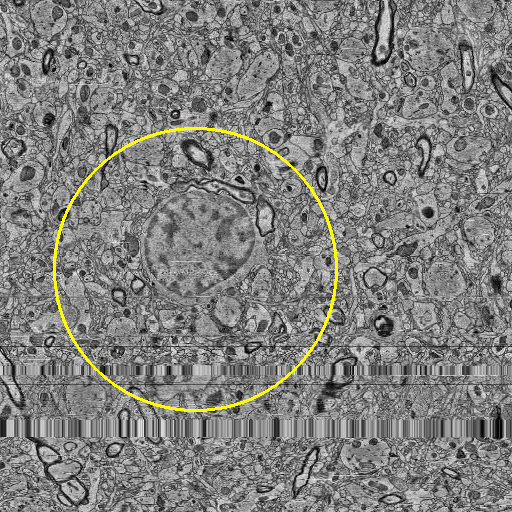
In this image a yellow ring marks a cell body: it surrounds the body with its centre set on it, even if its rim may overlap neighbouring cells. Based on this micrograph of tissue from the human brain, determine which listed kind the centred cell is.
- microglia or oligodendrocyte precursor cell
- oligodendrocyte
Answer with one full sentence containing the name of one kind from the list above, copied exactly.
It is an oligodendrocyte whose body the yellow ring encloses at its centre.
